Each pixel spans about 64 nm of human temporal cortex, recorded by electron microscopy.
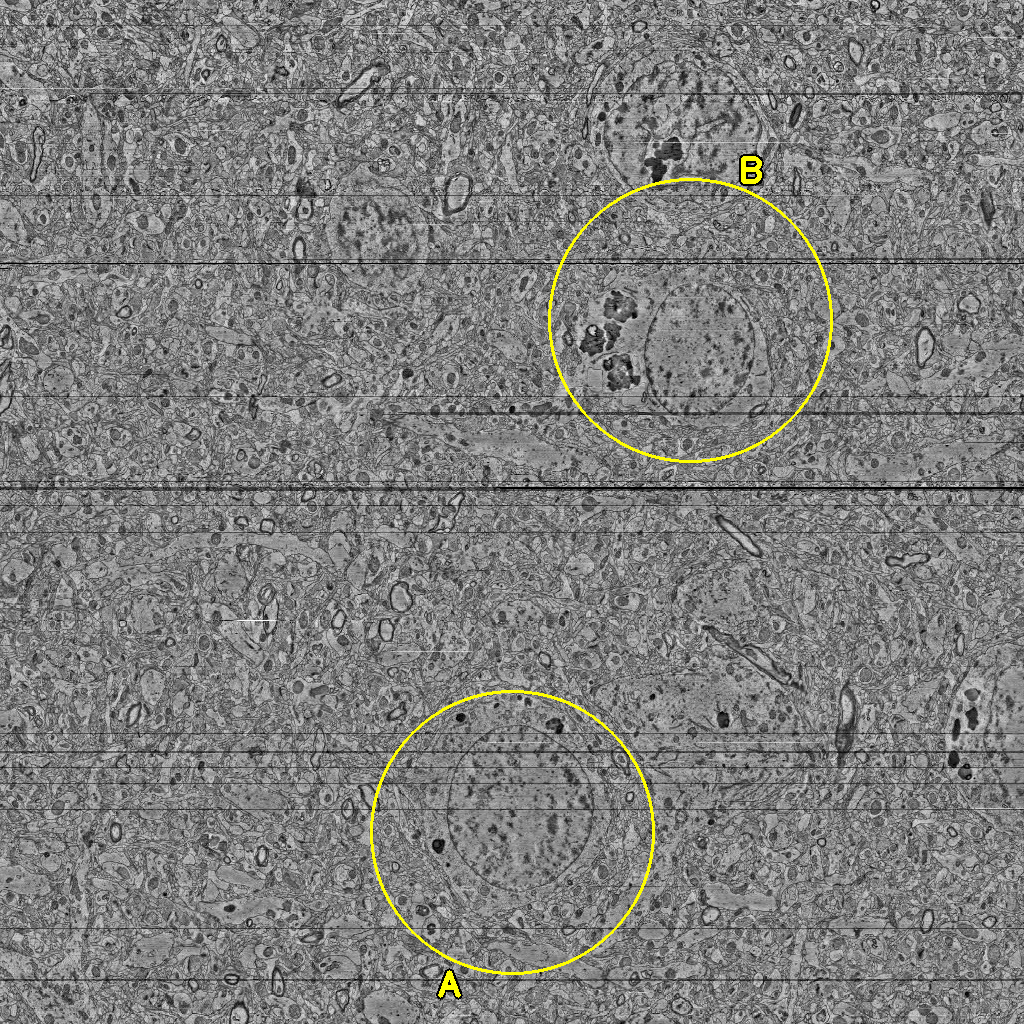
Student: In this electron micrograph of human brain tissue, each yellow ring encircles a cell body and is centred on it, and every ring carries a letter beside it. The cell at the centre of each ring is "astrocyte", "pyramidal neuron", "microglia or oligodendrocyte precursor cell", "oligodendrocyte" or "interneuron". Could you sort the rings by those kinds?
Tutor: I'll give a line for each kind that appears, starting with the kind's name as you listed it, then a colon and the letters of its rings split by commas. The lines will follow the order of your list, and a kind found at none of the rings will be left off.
astrocyte: B
pyramidal neuron: A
